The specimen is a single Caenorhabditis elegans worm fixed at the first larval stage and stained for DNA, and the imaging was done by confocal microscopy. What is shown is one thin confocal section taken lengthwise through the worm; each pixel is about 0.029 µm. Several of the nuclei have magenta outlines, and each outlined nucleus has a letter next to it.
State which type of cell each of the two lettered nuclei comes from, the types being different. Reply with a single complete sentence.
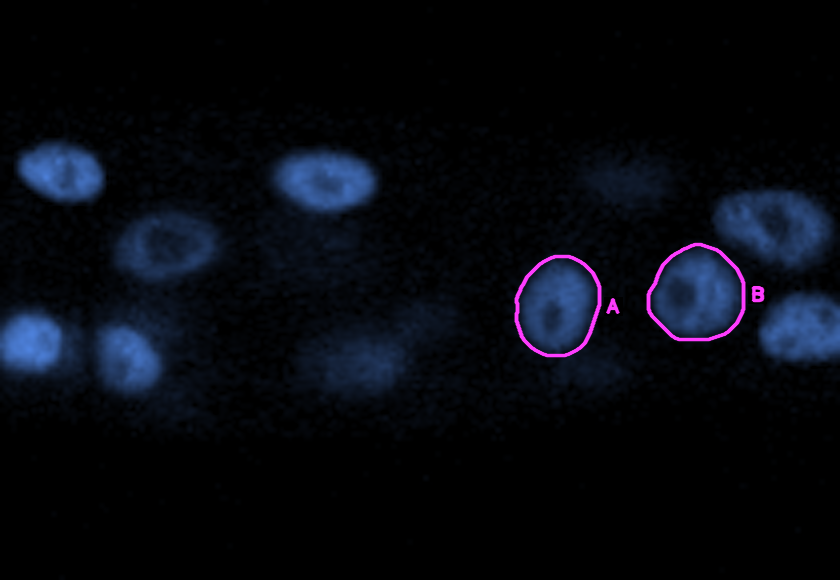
A is the nucleus of a Q neuroblast; B is the nucleus of a seam cell.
